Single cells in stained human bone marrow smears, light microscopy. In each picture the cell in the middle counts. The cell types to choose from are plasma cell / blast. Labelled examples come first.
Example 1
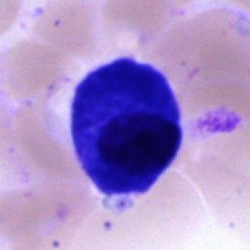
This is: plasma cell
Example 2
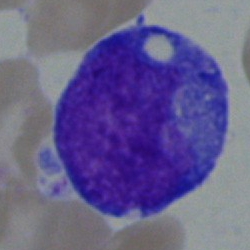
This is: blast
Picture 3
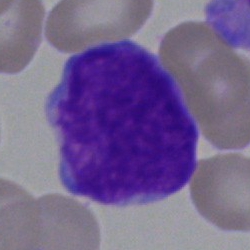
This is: blast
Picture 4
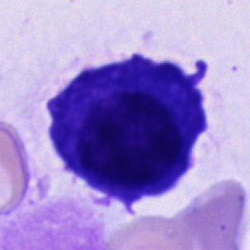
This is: plasma cell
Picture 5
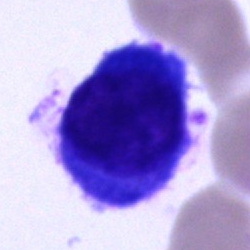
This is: plasma cell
